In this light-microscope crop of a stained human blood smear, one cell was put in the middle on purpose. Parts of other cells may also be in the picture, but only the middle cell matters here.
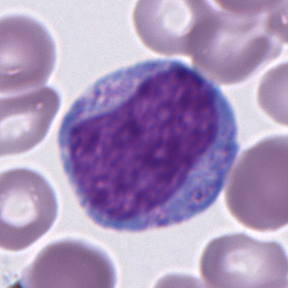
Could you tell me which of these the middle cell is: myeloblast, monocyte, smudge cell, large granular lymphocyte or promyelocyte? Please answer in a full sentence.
Answering briefly, the cell in the middle is a promyelocyte.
